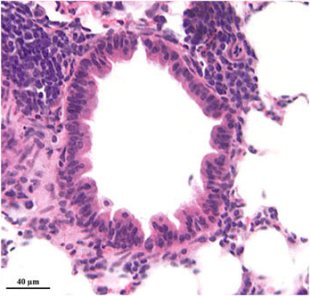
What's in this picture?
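This is a small airway of the lung, lined by a thickened epithelium of tall columnar cells with crowded, dark purple nuclei at several levels and pink cytoplasm. Around the airway, especially at the upper left, the wall is packed with dense collections of small round cells with dark nuclei, an inflammatory cell infiltration. Pink connective tissue and the thin-walled air spaces of the surrounding lung lie beyond the infiltrated wall.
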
